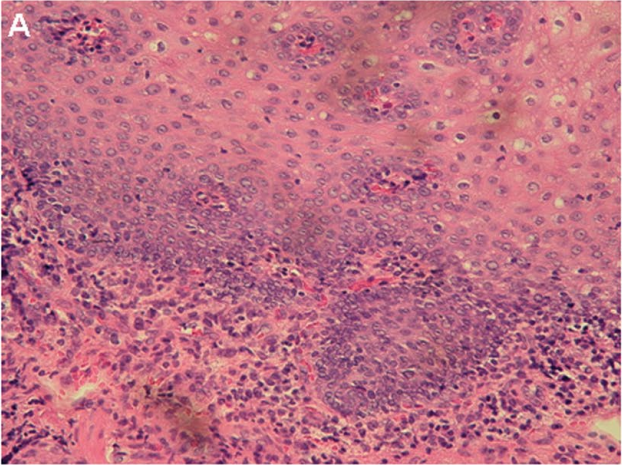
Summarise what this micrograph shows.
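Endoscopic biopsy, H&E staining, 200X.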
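This is the stratified squamous epithelium of the oesophagus with lymphocytes infiltrating it. The upper part is made of layered squamous cells with abundant pink cytoplasm and round central nuclei, some with a pale clear halo. Toward the bottom the basal layer is darker and more crowded, with smaller cells and denser nuclei. Papillae of connective tissue carrying small vessels extend up into the epithelium. Many small round dark lymphocyte nuclei crowd the lower epithelium and the underlying connective tissue, forming a moderate infiltrate.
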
